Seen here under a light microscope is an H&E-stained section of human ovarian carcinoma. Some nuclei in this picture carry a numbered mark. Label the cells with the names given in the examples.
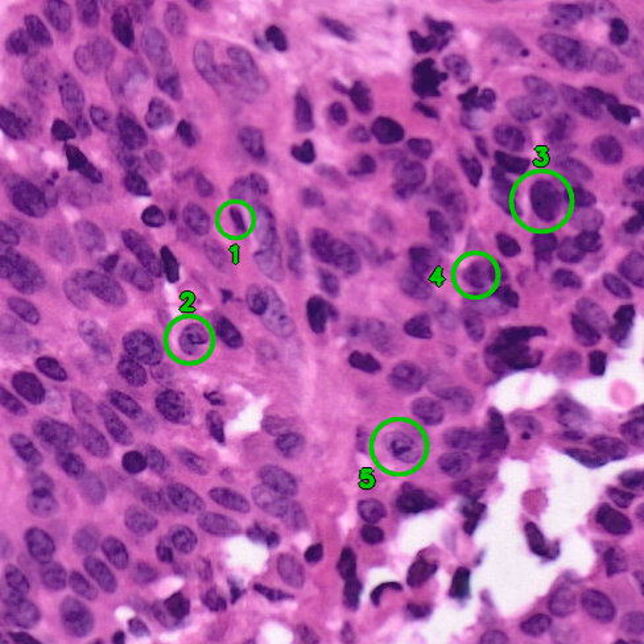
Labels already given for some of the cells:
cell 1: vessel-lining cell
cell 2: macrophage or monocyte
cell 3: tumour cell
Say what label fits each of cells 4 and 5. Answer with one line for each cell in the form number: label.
4: tumour cell
5: macrophage or monocyte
